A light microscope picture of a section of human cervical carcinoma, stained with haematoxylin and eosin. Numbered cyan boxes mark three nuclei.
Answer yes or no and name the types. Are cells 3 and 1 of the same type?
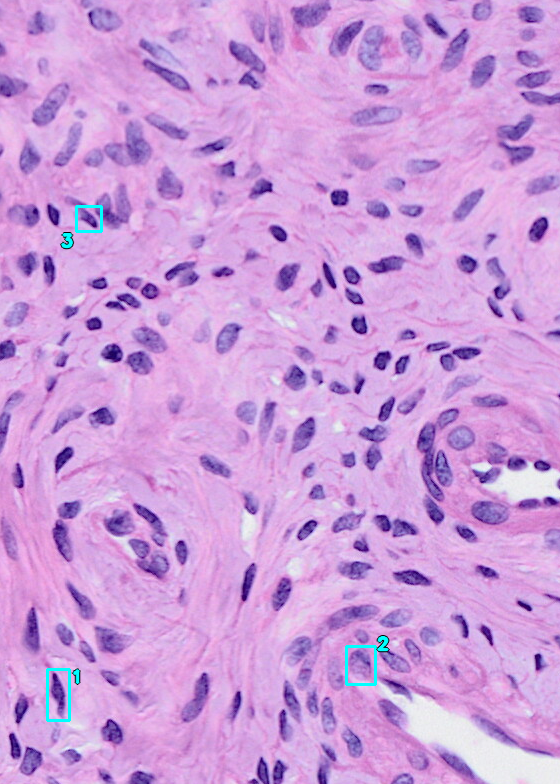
Yes, cells 3 and 1 are both fibroblasts and thus of one type.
